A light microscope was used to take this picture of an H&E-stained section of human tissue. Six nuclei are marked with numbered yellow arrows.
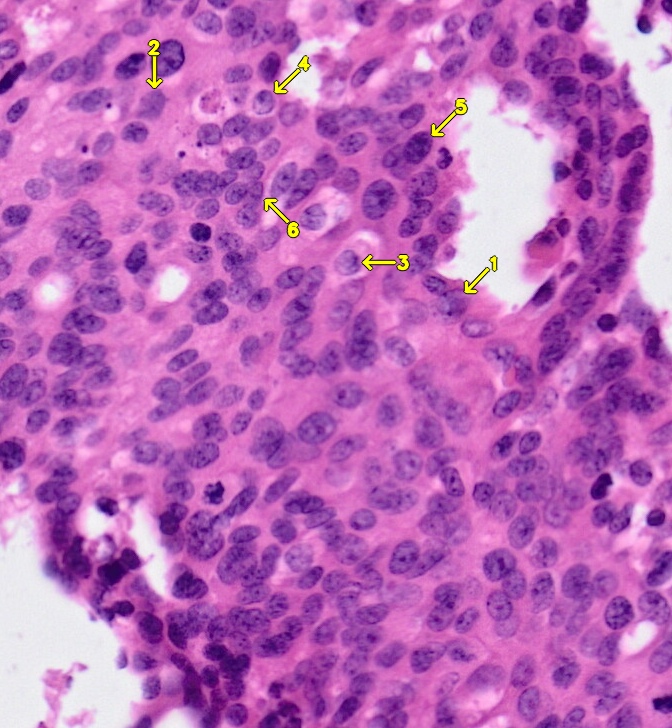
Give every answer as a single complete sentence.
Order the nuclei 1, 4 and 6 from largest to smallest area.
Largest first, the order by area is 1, 4, 6.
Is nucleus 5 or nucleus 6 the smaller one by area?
Nucleus 6 is the smaller one; nucleus 5 covers about 3 times its area.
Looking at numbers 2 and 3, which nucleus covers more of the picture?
The larger nucleus is 2, at roughly 1.5 times the area of 3.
